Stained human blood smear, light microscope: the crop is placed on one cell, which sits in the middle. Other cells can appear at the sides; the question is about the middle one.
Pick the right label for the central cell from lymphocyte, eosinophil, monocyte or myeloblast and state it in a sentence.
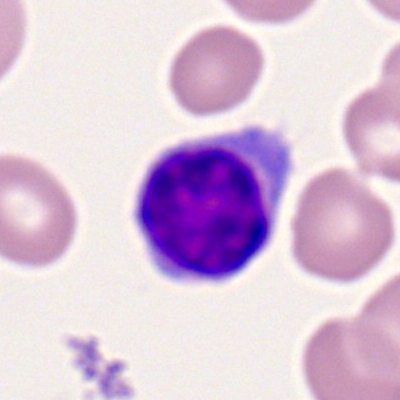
At the center of the crop sits a lymphocyte.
